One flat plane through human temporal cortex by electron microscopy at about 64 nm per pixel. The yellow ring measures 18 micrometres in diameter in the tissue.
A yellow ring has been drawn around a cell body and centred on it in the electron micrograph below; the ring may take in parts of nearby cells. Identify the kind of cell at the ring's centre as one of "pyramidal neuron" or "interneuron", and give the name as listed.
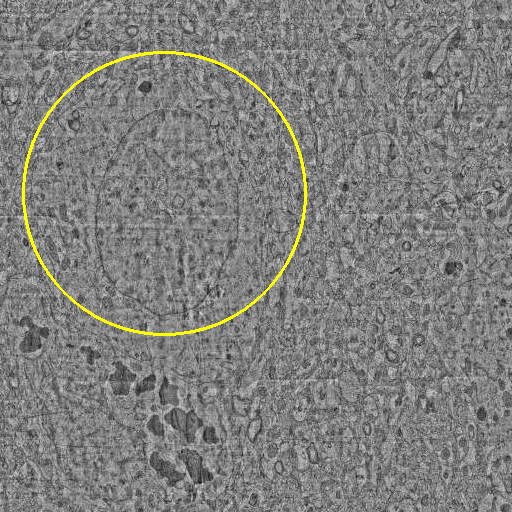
pyramidal neuron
